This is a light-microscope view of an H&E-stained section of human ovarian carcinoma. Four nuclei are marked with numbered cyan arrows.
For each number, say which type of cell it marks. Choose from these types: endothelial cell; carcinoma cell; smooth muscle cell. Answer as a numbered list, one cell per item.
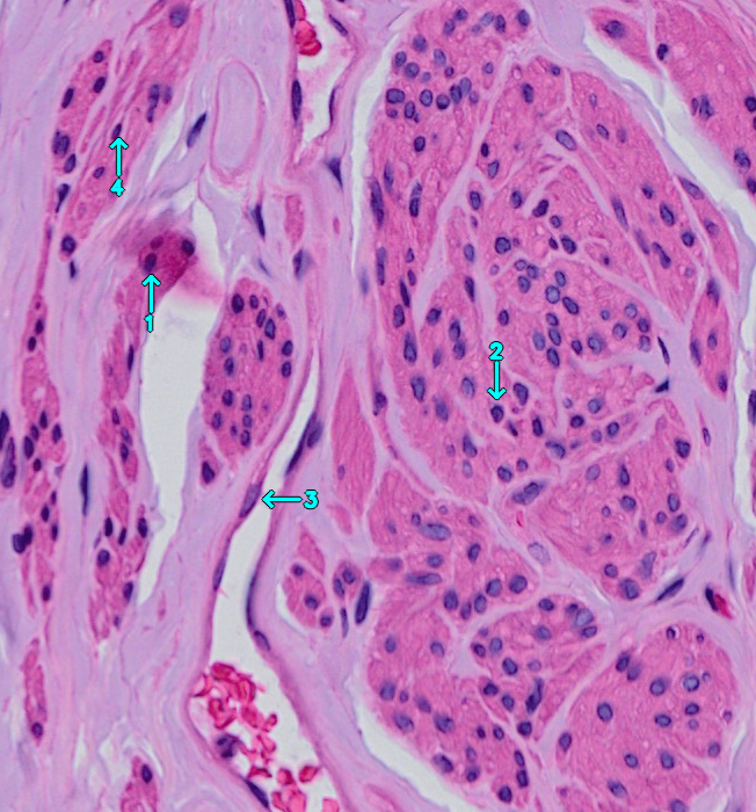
1. smooth muscle cell
2. smooth muscle cell
3. endothelial cell
4. smooth muscle cell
